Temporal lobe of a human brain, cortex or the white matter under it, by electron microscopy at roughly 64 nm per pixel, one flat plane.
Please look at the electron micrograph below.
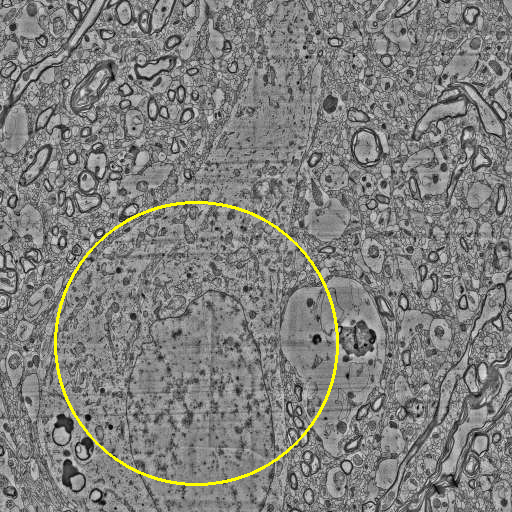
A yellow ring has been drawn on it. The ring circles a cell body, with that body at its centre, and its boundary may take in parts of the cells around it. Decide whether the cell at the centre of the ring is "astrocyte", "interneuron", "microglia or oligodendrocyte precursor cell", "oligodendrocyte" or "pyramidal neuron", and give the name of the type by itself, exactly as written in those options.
pyramidal neuron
